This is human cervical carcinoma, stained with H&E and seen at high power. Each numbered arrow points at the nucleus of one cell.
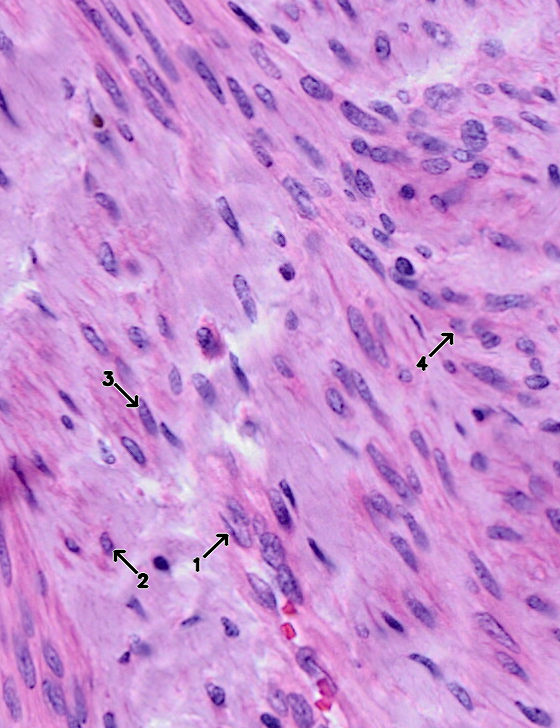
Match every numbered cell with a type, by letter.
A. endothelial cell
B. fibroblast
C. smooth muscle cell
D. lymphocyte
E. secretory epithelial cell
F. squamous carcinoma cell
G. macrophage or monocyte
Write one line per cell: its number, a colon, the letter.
1: A
2: C
3: C
4: C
